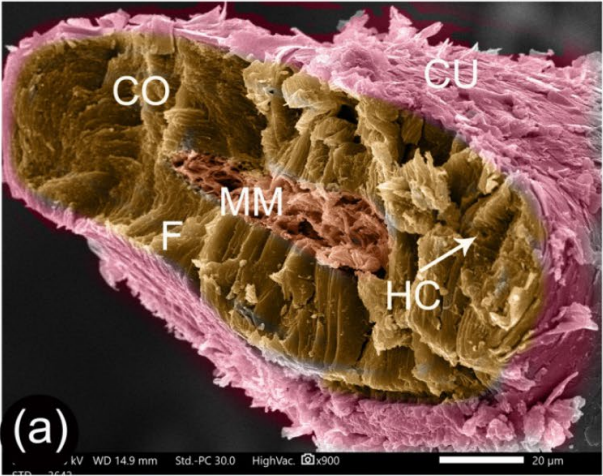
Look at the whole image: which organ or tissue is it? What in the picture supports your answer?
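An oval fractured cross-section of a slender shaft about 100 µm across. A thin scaly outer sheath surrounds a thick fibrous middle layer. A loose spongy core lies in the centre.
Conclusion: hair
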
